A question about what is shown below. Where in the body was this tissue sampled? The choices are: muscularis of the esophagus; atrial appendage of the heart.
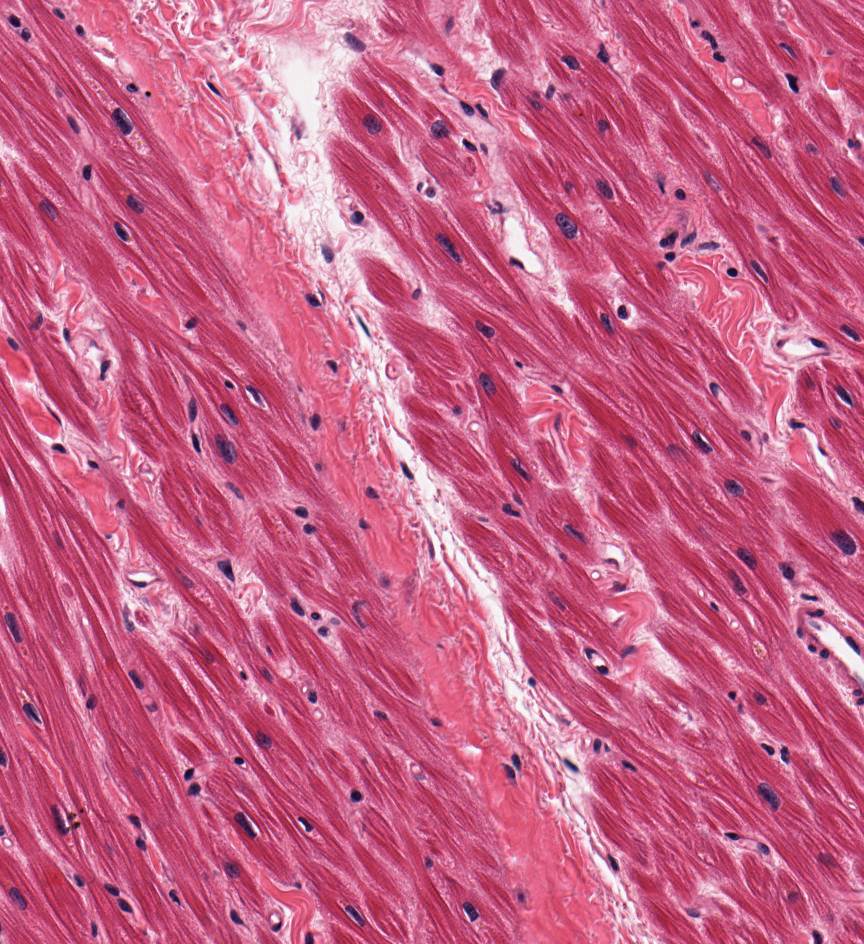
atrial appendage of the heart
